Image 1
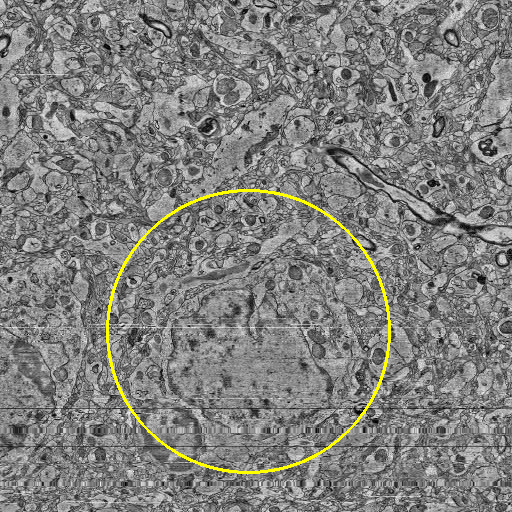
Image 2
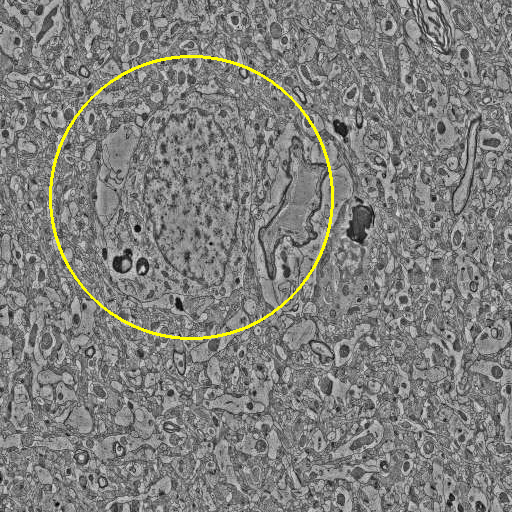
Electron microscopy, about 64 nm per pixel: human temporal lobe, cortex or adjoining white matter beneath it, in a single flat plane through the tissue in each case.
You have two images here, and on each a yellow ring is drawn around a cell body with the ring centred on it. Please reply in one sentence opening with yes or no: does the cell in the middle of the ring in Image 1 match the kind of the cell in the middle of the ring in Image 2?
Yes, the two images show cells of one kind at the centres of their rings.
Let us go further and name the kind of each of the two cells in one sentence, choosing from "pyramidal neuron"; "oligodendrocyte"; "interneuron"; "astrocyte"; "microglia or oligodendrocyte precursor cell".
Each one of the two ringed cells is an interneuron.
